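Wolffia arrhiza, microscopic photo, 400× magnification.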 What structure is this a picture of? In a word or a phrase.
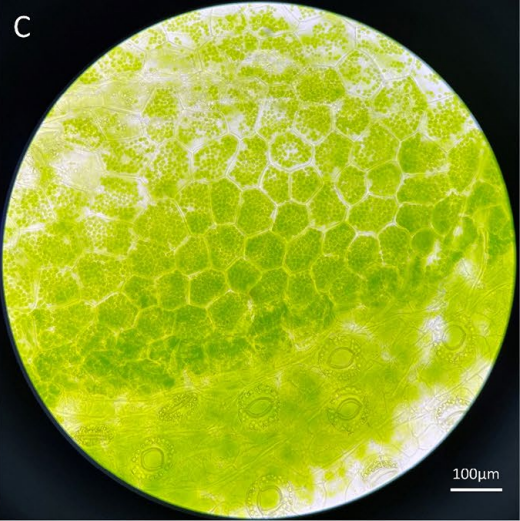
Stomata.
